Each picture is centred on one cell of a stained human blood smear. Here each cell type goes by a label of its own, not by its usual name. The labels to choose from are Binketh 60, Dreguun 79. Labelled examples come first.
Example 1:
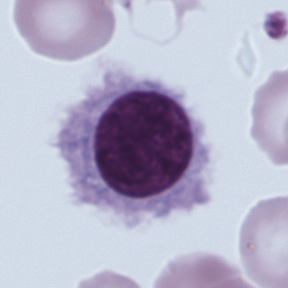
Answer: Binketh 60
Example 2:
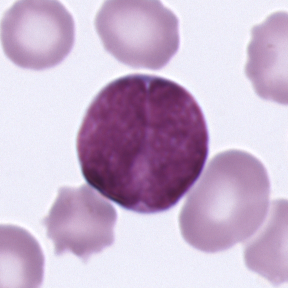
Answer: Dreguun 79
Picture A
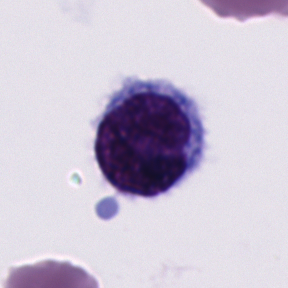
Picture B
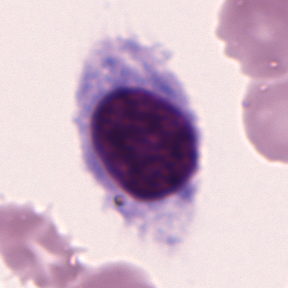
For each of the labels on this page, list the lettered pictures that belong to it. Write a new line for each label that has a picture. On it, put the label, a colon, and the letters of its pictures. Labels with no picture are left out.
Binketh 60: A, B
